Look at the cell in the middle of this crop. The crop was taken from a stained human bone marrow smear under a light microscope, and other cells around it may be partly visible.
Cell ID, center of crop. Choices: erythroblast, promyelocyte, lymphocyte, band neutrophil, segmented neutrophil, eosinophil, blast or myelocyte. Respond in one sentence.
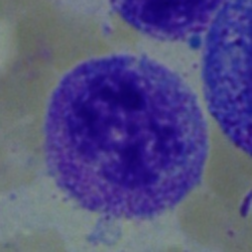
In this smear crop, the middle cell is a myelocyte.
